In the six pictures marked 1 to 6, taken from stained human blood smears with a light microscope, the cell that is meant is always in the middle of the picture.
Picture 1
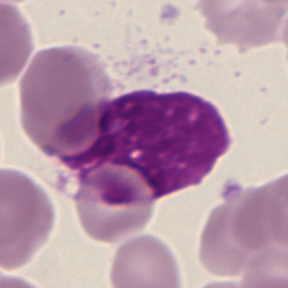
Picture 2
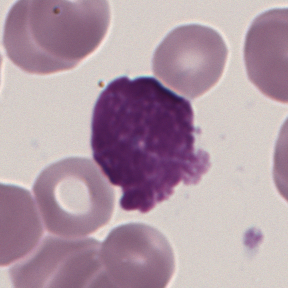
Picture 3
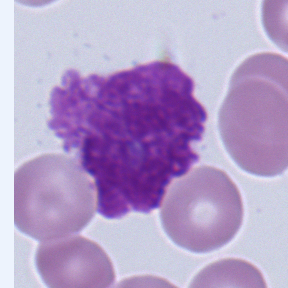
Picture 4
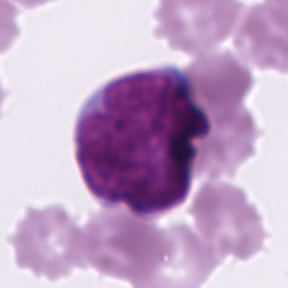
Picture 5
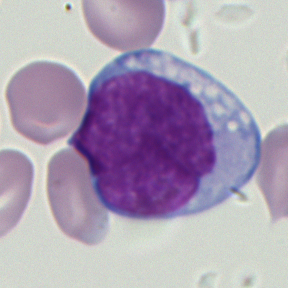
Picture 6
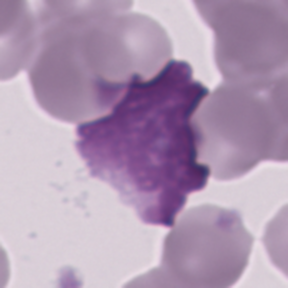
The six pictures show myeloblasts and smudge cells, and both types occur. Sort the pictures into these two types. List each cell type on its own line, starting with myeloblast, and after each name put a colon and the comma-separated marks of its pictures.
myeloblast: 4, 5
smudge cell: 1, 2, 3, 6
